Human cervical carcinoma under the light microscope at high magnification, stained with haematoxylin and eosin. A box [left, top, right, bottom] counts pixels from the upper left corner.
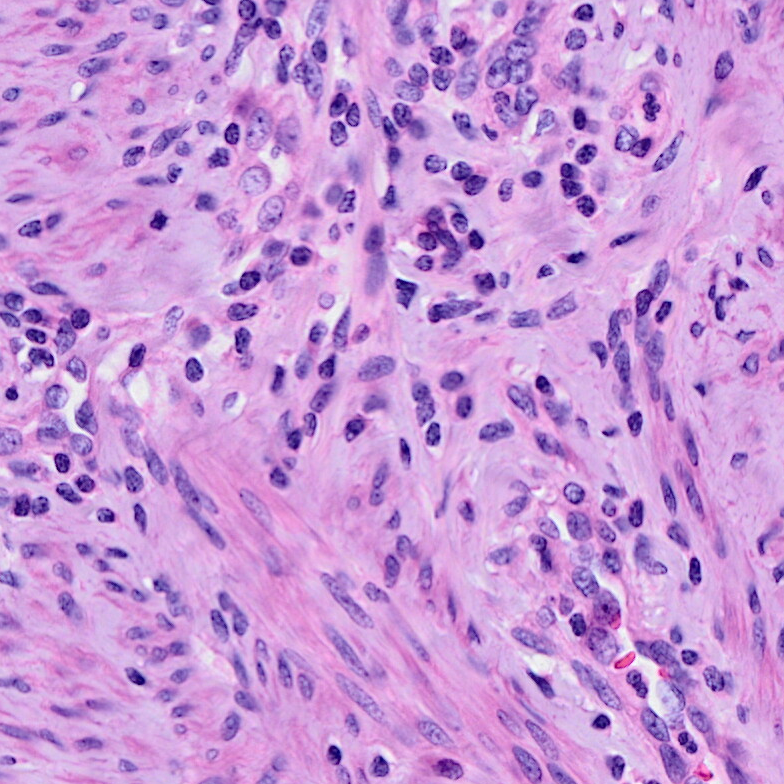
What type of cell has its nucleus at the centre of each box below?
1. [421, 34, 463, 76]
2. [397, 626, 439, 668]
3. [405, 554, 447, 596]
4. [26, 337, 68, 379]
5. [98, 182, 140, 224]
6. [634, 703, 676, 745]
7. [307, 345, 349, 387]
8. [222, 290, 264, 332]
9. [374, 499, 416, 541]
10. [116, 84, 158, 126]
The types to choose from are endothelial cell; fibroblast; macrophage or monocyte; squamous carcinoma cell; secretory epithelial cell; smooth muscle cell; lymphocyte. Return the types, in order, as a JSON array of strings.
["lymphocyte", "smooth muscle cell", "smooth muscle cell", "lymphocyte", "smooth muscle cell", "endothelial cell", "lymphocyte", "lymphocyte", "smooth muscle cell", "smooth muscle cell"]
